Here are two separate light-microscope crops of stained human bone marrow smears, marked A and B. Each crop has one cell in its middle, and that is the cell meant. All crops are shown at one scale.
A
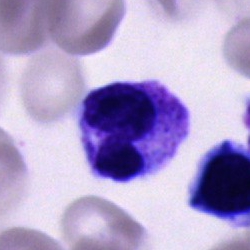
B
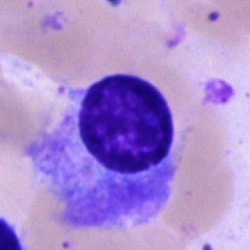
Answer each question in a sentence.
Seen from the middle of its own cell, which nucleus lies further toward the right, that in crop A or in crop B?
Seen within its cell, the nucleus in crop B lies further toward the right.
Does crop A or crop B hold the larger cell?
The cell in crop B is larger, with about 2 times the area of the one in crop A.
